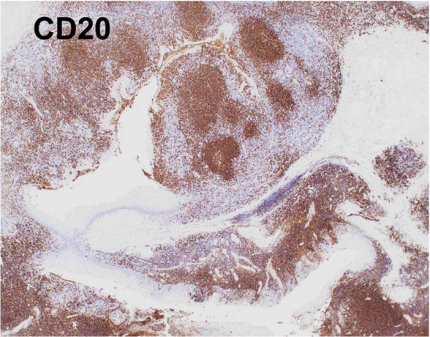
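The follicles vary in size and are mostly solidly stained, with few showing a distinct paler centre. Between them lies more lightly stained tissue with scattered brown cells. The crypts appear as white clefts whose epithelial lining stays largely blue.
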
